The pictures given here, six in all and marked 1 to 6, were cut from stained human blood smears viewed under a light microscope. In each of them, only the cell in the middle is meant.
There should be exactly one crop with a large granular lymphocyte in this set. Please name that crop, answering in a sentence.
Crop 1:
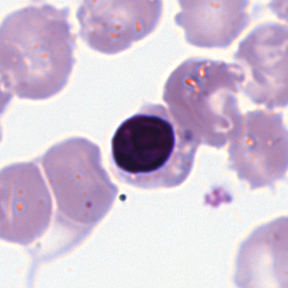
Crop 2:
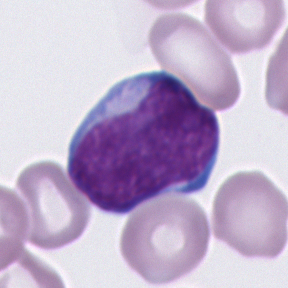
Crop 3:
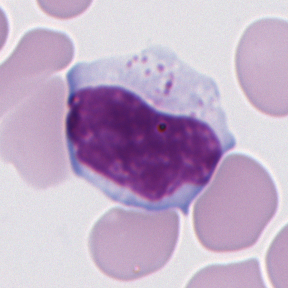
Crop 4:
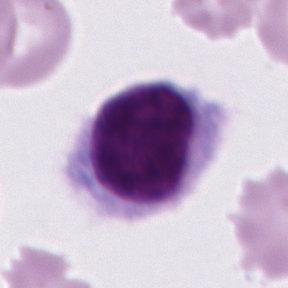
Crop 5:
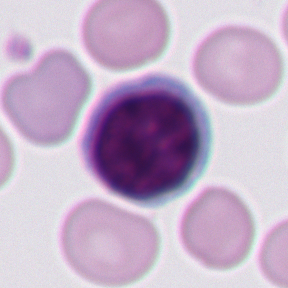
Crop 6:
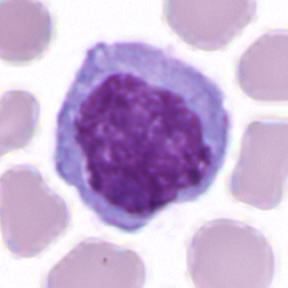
Among all the crops given here, the one with a large granular lymphocyte is crop 3.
